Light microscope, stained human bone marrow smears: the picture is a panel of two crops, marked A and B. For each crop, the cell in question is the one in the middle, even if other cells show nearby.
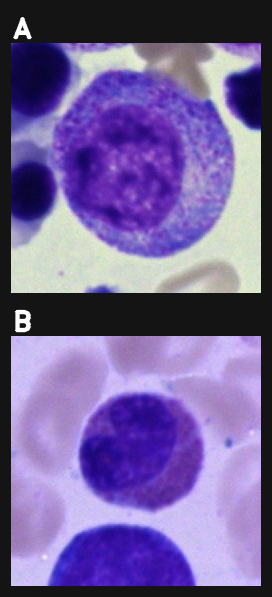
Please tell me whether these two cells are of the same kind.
no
